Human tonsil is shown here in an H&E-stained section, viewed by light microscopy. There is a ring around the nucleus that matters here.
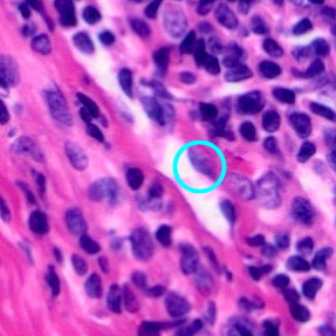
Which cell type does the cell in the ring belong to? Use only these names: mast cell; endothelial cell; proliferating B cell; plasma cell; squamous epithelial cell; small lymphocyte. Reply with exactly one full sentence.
Considered by cell type, the cell in the ring is an endothelial cell.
